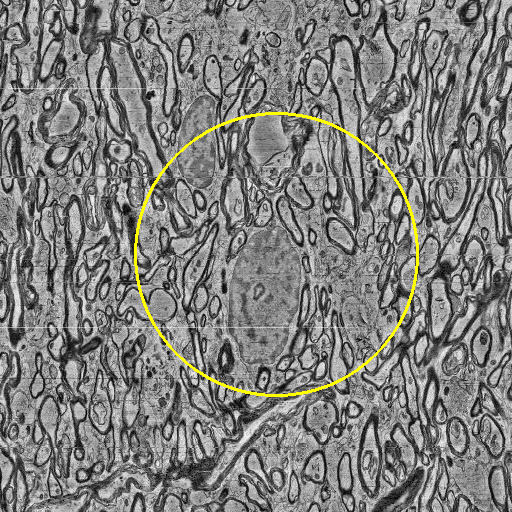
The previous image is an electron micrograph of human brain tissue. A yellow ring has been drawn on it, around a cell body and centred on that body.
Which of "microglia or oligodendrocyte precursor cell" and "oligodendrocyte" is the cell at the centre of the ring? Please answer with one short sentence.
The cell body at the centre of the ring belongs to an oligodendrocyte.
